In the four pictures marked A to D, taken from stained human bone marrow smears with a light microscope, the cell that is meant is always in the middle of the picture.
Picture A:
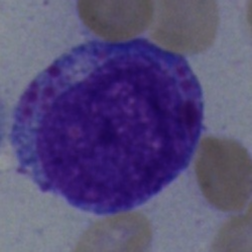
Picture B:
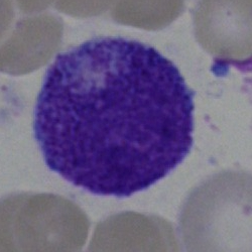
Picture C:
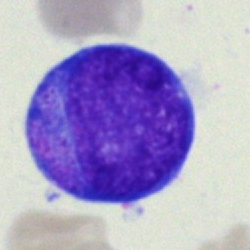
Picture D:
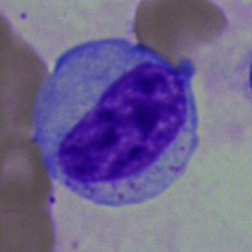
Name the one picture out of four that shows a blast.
C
